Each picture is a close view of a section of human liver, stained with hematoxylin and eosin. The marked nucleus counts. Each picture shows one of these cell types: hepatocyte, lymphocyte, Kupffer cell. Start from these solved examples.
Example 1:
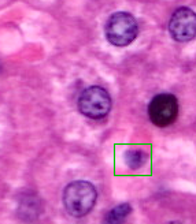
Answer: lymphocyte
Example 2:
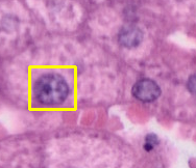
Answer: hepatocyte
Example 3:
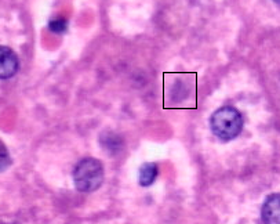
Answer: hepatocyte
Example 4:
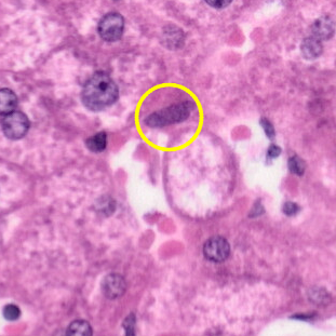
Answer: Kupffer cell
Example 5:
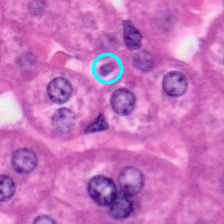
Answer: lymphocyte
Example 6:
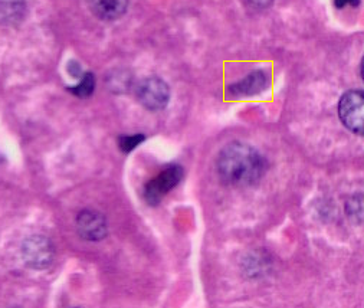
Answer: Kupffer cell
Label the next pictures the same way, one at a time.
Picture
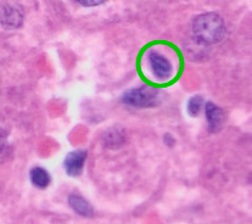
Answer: lymphocyte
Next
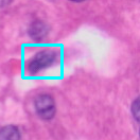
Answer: Kupffer cell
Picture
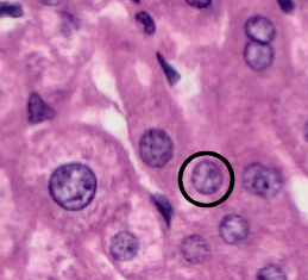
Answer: hepatocyte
